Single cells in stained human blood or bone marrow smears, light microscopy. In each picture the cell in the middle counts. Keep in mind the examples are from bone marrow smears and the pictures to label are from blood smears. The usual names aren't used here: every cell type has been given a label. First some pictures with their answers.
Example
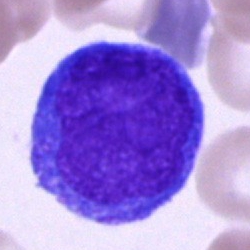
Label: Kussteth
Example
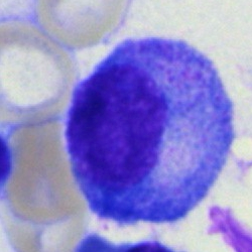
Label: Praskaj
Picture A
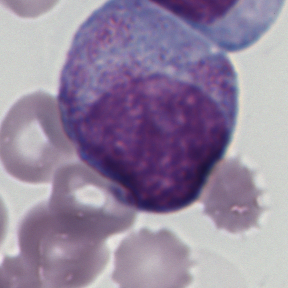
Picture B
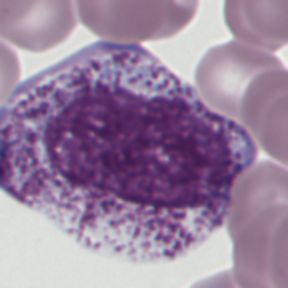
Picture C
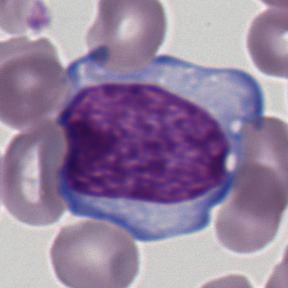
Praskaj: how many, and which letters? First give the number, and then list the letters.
Count: 2 (A, B)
